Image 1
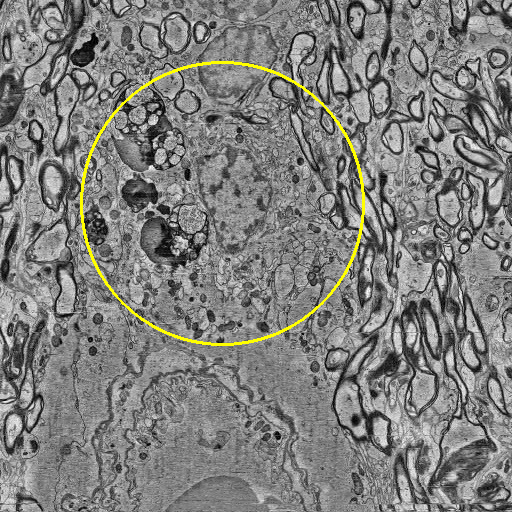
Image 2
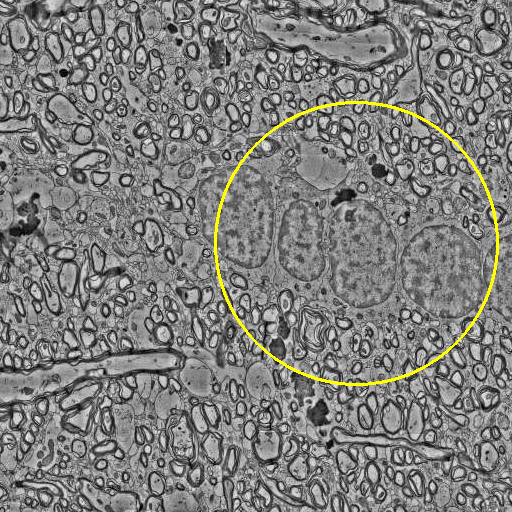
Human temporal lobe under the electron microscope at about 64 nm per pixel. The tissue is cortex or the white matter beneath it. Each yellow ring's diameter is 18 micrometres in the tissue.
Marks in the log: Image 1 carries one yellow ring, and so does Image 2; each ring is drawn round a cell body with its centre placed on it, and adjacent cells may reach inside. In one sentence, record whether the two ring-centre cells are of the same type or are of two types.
The two cells at the ring centres, one in each image, are of two types.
